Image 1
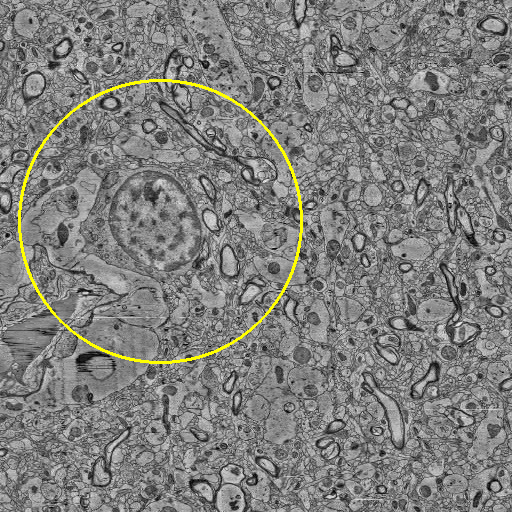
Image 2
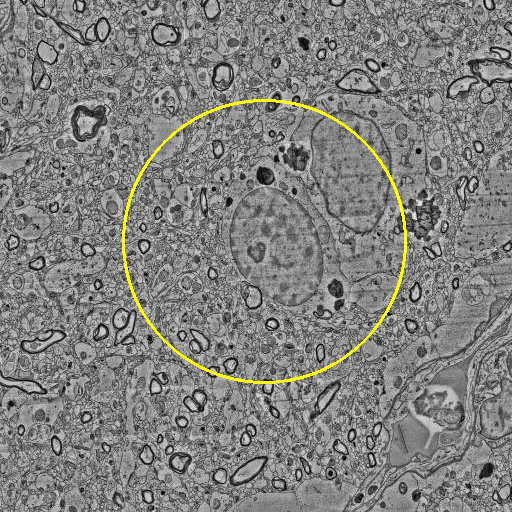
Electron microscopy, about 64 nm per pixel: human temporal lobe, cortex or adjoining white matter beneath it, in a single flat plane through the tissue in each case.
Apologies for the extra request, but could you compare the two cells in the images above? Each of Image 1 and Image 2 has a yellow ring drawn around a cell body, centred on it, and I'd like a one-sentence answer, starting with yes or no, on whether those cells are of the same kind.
Yes, both cells are of the same kind.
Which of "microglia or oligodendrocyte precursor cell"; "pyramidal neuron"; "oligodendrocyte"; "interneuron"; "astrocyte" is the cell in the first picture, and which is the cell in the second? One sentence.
In each picture the ringed cell is an oligodendrocyte.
